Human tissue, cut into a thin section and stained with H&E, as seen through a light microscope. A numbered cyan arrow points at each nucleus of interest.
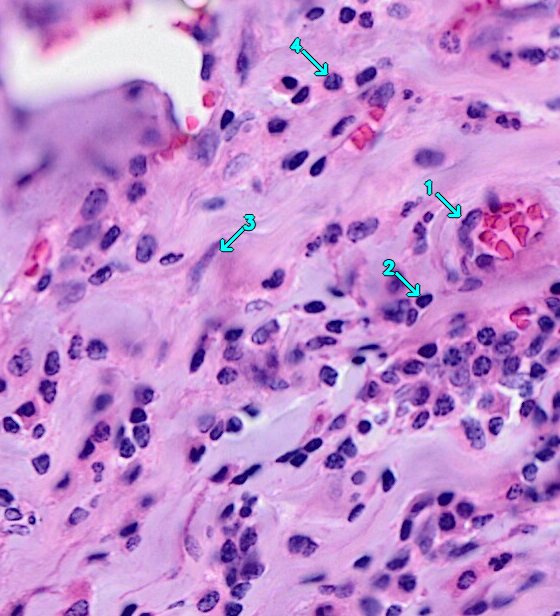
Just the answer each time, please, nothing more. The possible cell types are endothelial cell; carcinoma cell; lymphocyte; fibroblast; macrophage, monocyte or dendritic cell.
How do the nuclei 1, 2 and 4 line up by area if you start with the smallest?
2, 4, 1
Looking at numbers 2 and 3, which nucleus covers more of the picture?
3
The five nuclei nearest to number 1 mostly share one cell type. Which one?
endothelial cell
